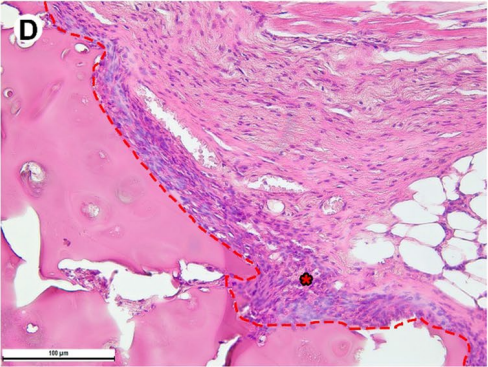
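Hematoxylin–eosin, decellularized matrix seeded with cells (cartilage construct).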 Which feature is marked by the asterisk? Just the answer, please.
Connective tissue capsule.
